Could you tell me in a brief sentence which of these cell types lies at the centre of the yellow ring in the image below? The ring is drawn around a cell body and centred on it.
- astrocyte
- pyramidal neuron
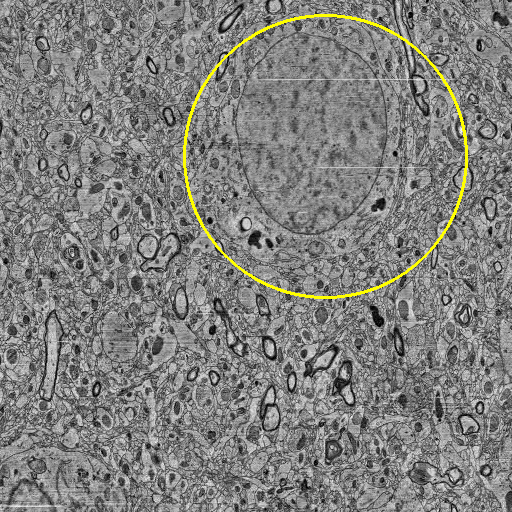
The cell centred in the ring is a pyramidal neuron.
